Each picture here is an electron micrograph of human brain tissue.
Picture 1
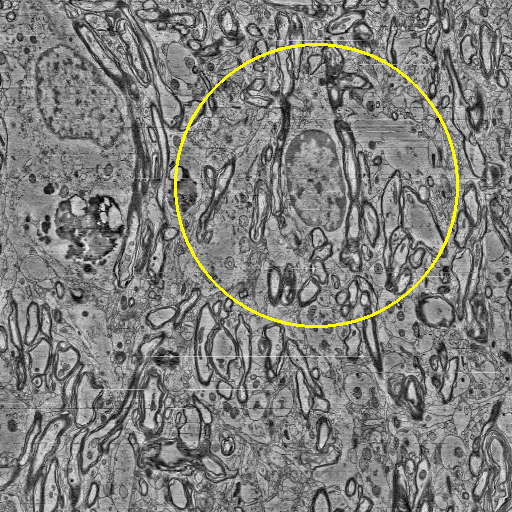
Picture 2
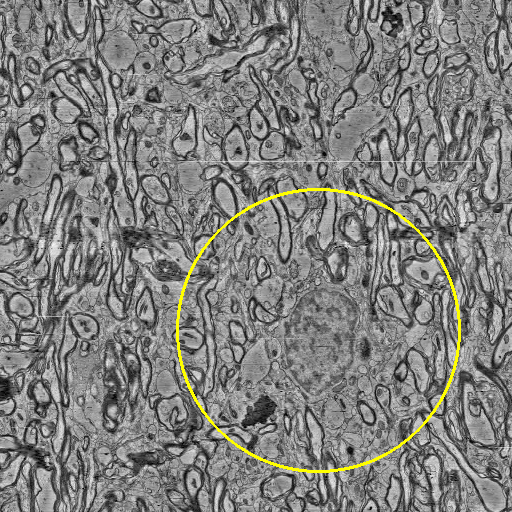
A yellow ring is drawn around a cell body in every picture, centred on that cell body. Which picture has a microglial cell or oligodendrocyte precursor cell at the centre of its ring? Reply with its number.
1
